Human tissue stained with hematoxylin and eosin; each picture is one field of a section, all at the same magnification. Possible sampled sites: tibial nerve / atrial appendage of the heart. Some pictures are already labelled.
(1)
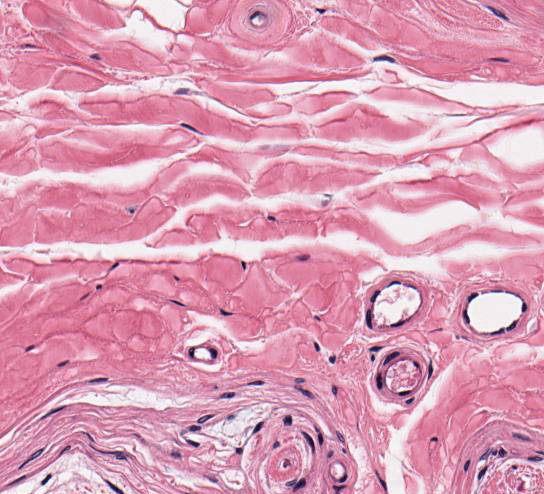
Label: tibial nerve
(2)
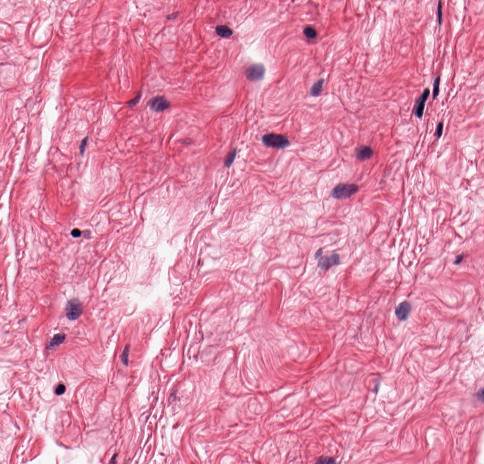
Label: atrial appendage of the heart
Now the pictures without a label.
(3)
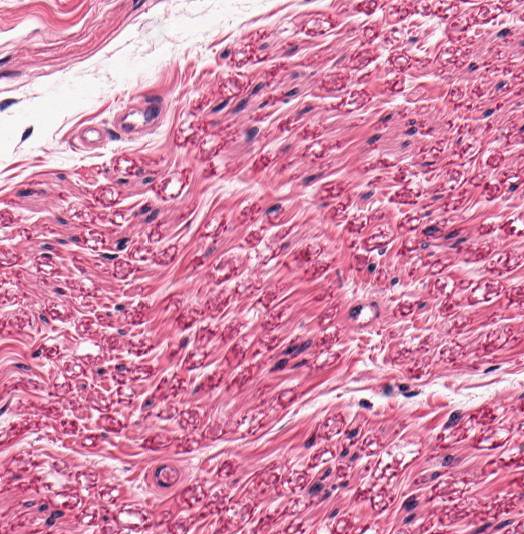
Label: tibial nerve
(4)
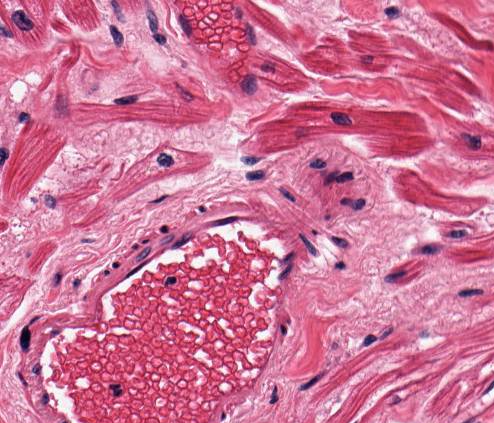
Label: atrial appendage of the heart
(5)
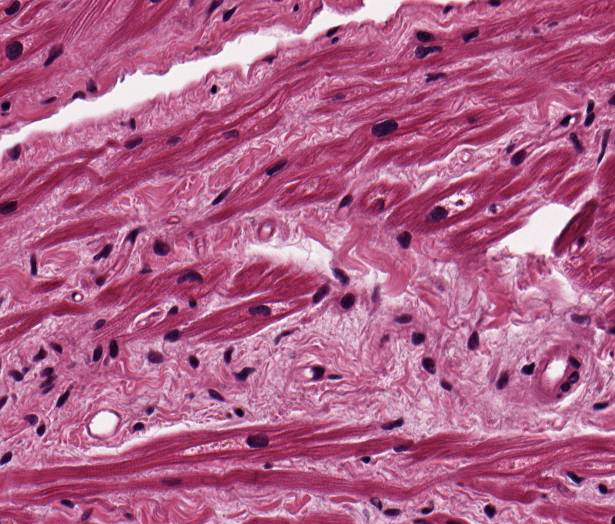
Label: atrial appendage of the heart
